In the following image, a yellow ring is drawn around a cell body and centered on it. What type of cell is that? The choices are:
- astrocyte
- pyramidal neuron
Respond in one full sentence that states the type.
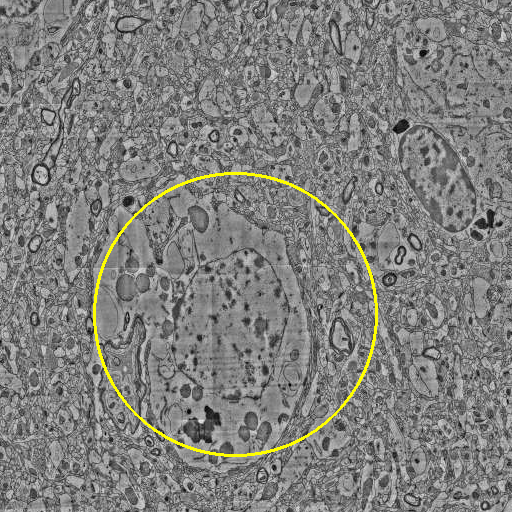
The cell at the center of the yellow ring in the image is an astrocyte.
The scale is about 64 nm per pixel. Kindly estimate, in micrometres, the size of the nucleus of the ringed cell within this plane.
In this plane the nucleus measures roughly 10 by 7 micrometres.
